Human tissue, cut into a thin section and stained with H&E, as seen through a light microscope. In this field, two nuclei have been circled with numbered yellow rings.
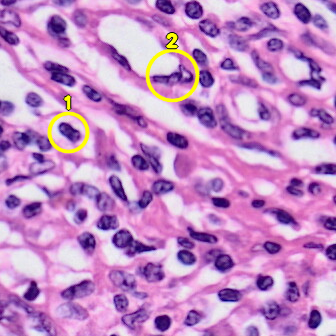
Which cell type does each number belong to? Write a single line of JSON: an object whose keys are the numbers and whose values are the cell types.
{"1": "lymphocyte", "2": "endothelial cell"}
